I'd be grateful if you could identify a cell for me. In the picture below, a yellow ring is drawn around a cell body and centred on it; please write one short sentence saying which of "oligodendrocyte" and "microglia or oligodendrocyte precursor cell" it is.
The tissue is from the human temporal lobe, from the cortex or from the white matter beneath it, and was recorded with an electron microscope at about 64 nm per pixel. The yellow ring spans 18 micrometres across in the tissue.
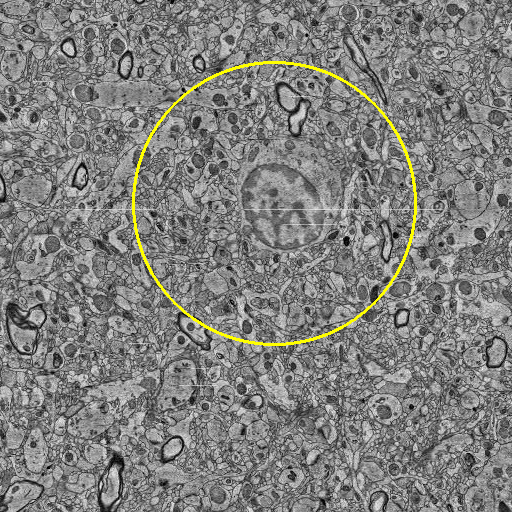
The cell under the ring's centre is an oligodendrocyte.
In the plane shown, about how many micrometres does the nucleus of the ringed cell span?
The nucleus appears roughly 6 by 5 micrometres in this plane.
